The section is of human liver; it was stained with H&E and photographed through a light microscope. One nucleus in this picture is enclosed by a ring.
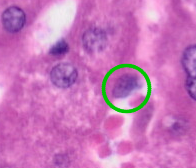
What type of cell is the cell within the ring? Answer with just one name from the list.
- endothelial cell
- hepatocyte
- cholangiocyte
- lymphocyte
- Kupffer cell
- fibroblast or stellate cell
endothelial cell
